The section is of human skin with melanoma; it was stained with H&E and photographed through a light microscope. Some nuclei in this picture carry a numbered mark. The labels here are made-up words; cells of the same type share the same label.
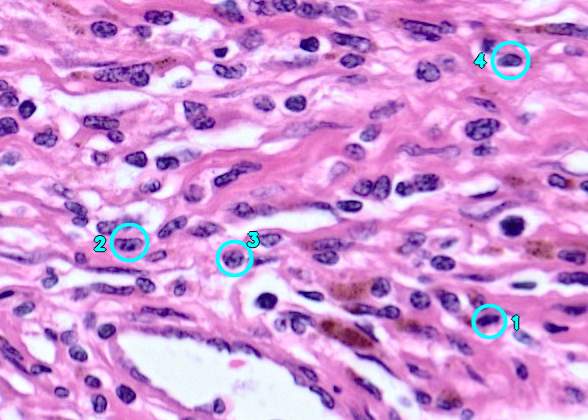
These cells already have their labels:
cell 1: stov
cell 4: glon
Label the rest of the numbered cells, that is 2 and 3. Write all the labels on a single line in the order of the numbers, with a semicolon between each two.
glon; glon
